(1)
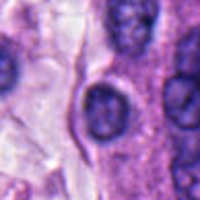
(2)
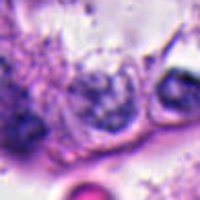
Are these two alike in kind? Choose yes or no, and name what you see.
Yes. Cytotrophoblasts.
